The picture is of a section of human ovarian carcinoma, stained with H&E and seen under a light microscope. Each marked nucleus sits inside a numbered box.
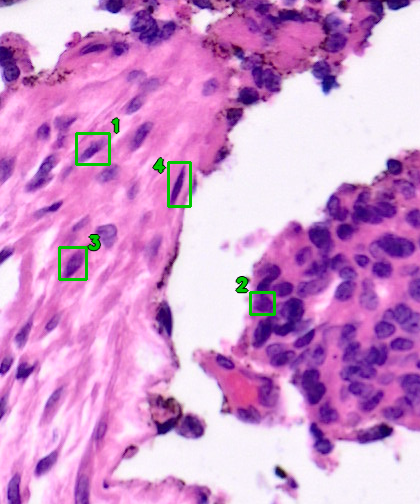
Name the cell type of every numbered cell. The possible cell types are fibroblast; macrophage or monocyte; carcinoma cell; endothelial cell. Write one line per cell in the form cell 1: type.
cell 1: fibroblast
cell 2: carcinoma cell
cell 3: fibroblast
cell 4: fibroblast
